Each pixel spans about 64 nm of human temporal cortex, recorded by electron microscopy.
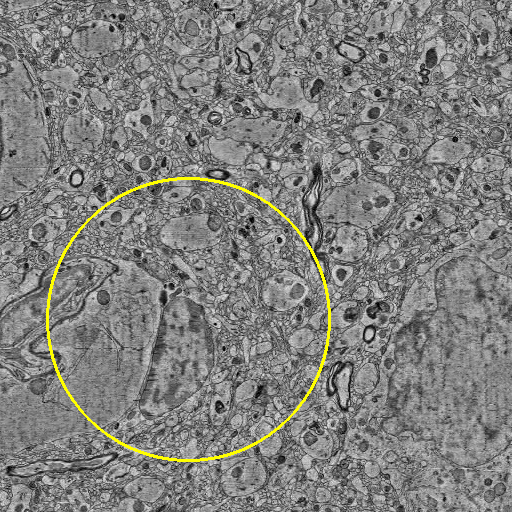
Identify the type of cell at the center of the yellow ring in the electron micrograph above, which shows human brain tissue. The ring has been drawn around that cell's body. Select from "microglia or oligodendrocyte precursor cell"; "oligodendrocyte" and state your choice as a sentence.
The yellow ring is centered on the body of a microglial cell or oligodendrocyte precursor cell.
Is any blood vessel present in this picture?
Yes, the picture includes a blood vessel.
